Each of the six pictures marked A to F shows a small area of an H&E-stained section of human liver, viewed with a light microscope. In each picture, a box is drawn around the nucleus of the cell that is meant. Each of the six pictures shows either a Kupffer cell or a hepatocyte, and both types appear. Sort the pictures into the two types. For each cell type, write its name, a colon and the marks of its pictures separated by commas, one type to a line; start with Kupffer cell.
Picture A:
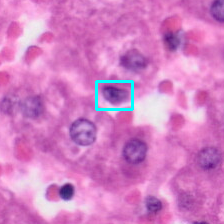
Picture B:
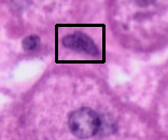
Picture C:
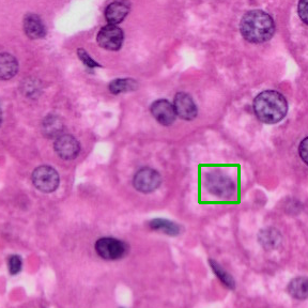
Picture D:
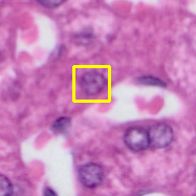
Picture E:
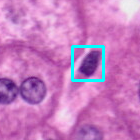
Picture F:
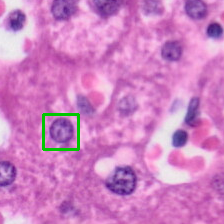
Kupffer cell: A, B, E
hepatocyte: C, D, F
